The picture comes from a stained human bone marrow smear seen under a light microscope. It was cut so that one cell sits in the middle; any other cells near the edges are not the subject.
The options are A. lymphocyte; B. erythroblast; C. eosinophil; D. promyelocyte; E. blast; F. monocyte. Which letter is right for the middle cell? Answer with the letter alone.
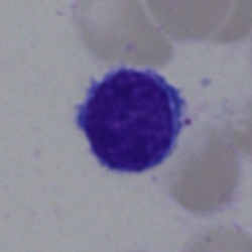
A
